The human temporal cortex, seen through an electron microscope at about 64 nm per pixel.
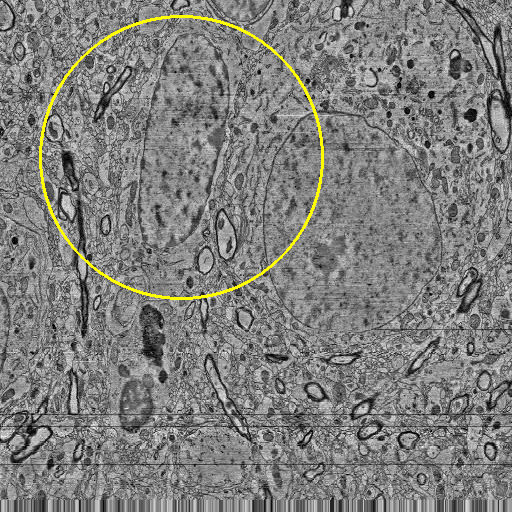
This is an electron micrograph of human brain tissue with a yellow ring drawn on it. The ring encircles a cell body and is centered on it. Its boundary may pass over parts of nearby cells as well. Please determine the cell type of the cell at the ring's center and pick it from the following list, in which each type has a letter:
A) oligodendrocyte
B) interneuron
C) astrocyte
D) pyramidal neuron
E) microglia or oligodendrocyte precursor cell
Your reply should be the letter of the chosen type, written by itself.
E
